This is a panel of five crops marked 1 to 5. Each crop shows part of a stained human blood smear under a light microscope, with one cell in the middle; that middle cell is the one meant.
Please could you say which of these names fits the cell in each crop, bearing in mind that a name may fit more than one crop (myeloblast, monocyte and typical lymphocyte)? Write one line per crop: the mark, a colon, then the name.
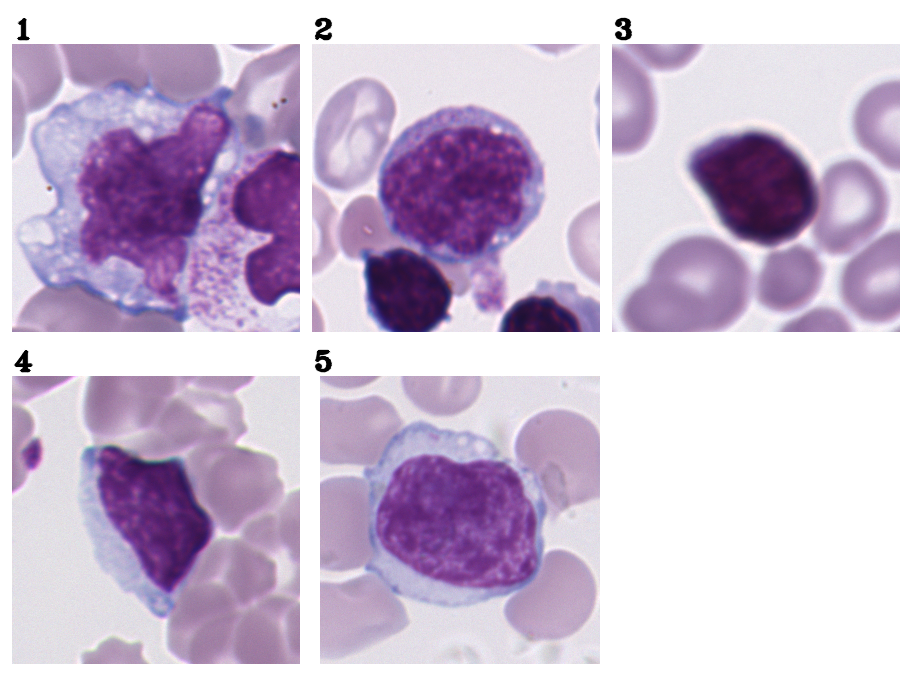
1: monocyte
2: monocyte
3: myeloblast
4: typical lymphocyte
5: myeloblast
